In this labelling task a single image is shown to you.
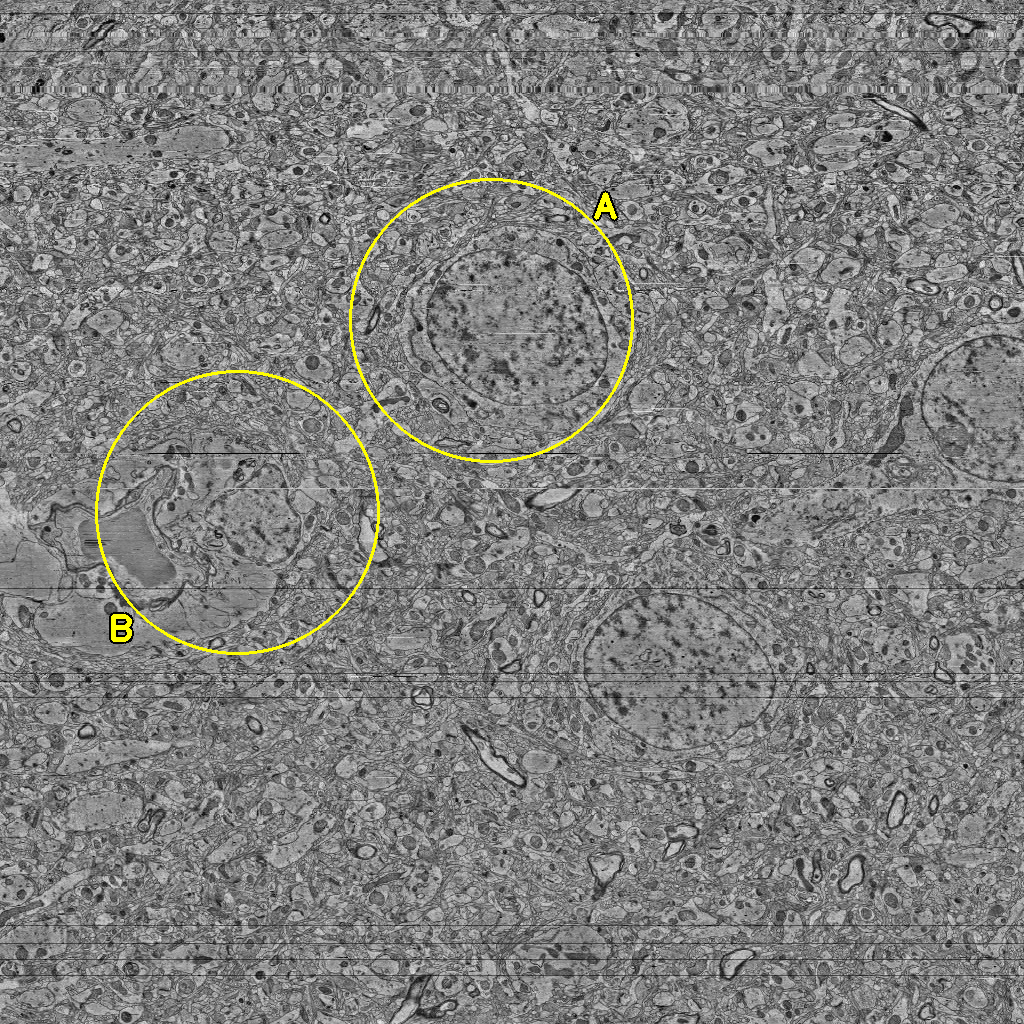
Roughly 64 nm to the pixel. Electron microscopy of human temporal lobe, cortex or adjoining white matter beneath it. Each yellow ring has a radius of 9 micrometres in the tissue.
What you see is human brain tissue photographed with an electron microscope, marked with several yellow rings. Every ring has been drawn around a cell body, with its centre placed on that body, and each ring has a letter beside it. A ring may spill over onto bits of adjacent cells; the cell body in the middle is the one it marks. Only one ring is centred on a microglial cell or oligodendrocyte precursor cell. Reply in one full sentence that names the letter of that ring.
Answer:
The ring centred on the cell asked for is the one marked B.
